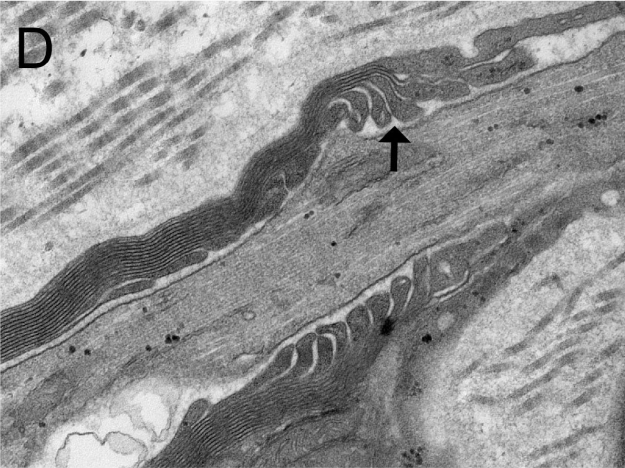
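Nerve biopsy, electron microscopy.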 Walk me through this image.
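Longitudinal electron micrograph of a myelinated axon at the paranodal region. Dark compact myelin lamellae run obliquely across the field and end in a series of curved terminal loops stacked along the axon. Pale clefts separate several of these loops from the axon membrane instead of lying closely apposed. The axoplasm shows fine longitudinal filaments. Bundles of collagen fibrils fill the endoneurial space at the upper left, and pale, sparsely textured profiles lie at the corners.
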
